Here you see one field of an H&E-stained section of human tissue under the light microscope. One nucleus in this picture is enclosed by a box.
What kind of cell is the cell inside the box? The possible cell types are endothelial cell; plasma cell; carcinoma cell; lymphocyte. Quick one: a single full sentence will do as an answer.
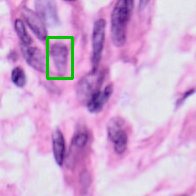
As far as its identity is concerned, the cell inside the box is an endothelial cell.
